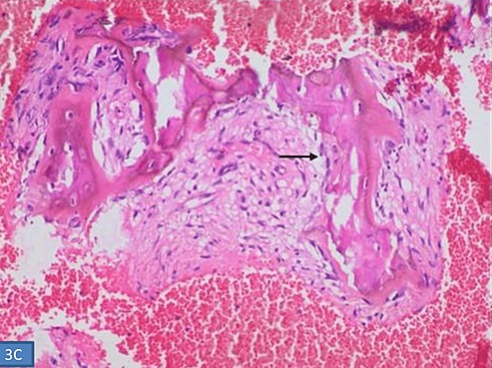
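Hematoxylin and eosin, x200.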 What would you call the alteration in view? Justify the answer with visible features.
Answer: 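Thin, irregular pink bone trabeculae. Cellular fibrous stroma lies between the trabeculae. Cells line the trabecular surfaces.
New bone formation.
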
